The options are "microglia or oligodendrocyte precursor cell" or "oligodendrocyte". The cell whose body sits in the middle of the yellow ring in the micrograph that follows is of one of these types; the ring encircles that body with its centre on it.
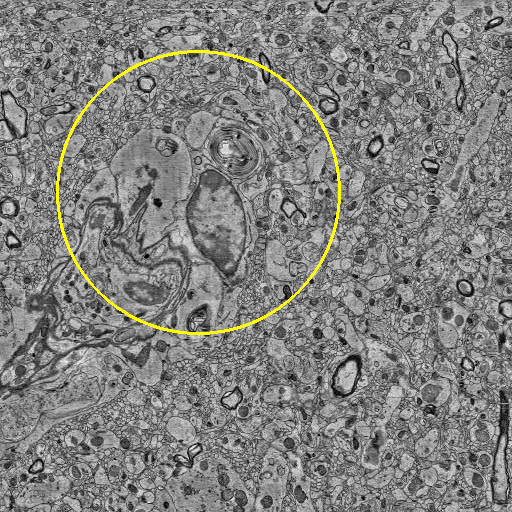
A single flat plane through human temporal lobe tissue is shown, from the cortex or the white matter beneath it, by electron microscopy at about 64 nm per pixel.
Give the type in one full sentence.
Going by the micrograph, the cell centred in the yellow ring is a microglial cell or oligodendrocyte precursor cell.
